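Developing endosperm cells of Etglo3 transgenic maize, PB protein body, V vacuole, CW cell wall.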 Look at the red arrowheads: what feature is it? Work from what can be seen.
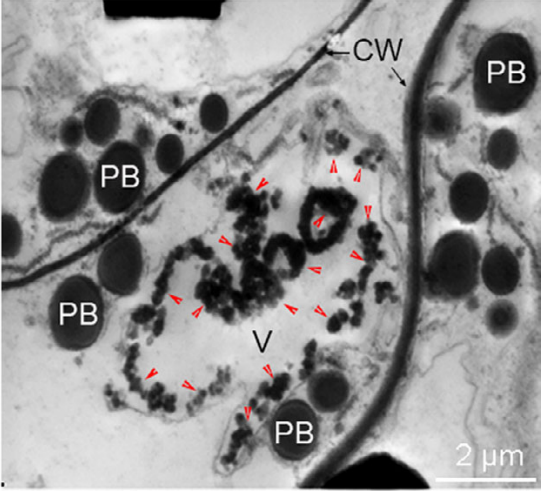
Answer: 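Electron‐dense aggregates. The arrowheads point to very dark, clumped granular material. The dark clumps lie in strings and rings inside a pale vacuole. The clumps are irregular and unlike the smooth round protein bodies nearby.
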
